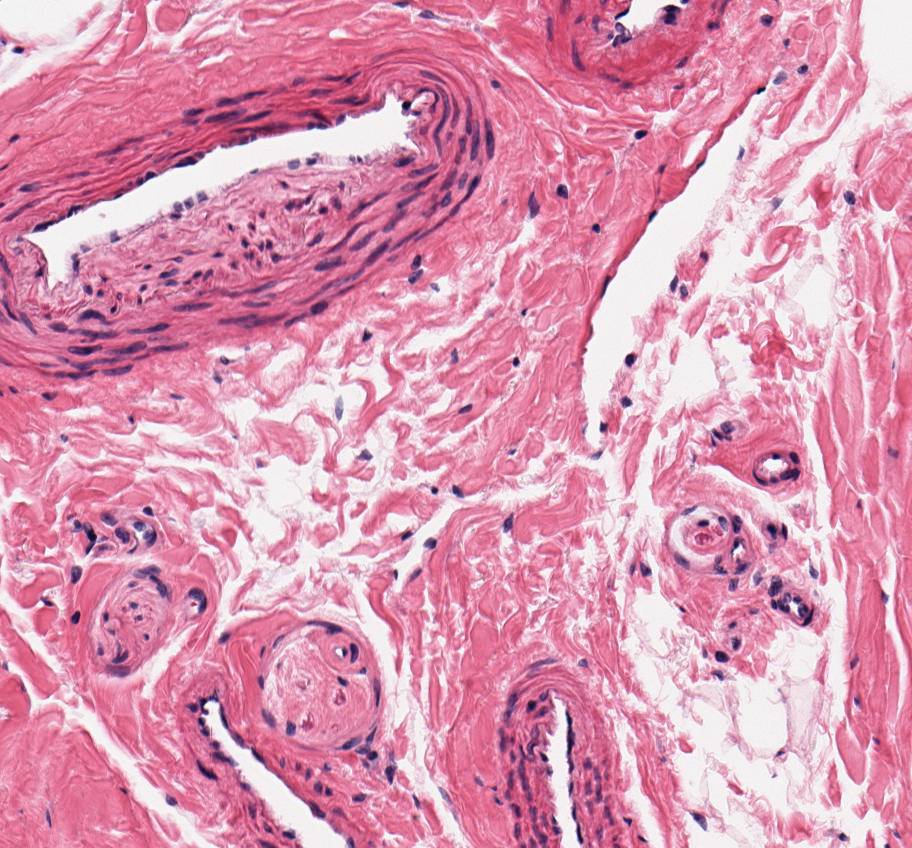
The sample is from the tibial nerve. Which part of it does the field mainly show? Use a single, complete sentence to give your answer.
The portion of tissue on this slide is called epineurium.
